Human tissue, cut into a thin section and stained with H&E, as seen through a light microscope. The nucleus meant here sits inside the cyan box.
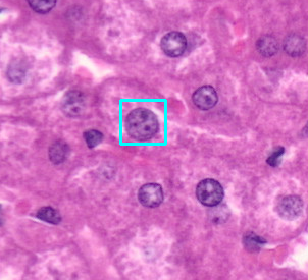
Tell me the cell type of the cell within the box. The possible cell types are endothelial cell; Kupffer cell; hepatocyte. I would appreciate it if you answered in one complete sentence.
Typologically, the cell within the box is a hepatocyte in this section.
